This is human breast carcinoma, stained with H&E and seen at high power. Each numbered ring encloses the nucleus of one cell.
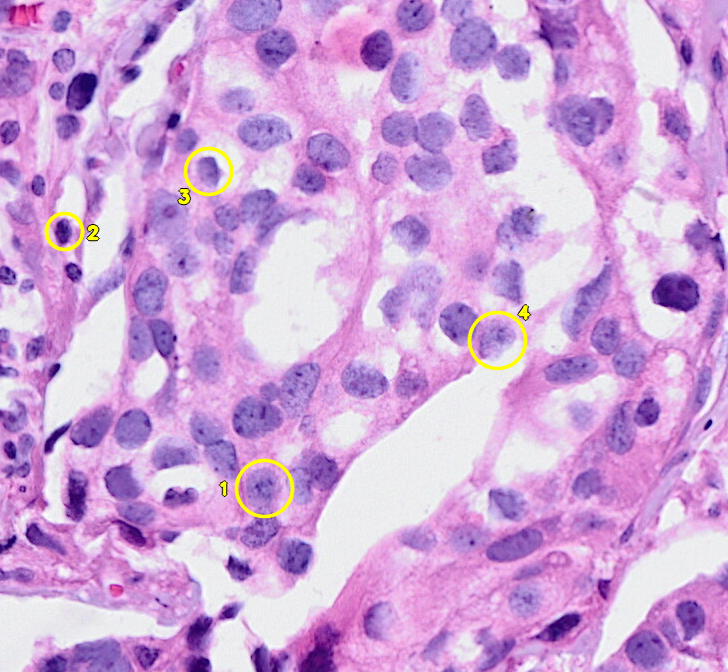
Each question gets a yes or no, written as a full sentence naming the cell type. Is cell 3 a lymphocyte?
No, the cell bearing number 3 is not a lymphocyte but a carcinoma cell.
